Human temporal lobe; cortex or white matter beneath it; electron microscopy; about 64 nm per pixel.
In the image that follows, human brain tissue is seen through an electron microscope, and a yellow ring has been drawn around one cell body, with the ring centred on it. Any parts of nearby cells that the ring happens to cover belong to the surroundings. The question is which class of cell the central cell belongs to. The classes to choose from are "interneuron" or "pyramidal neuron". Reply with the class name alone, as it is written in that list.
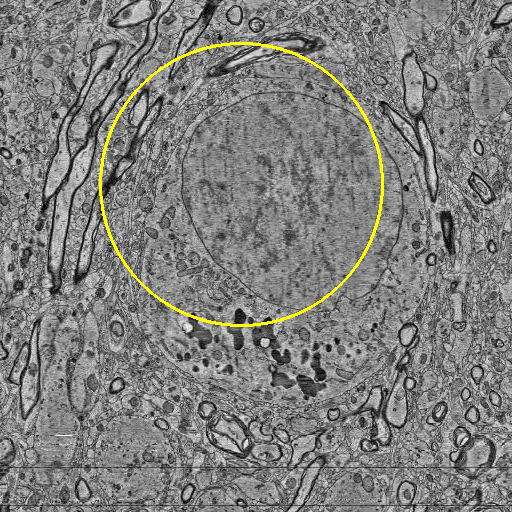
pyramidal neuron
